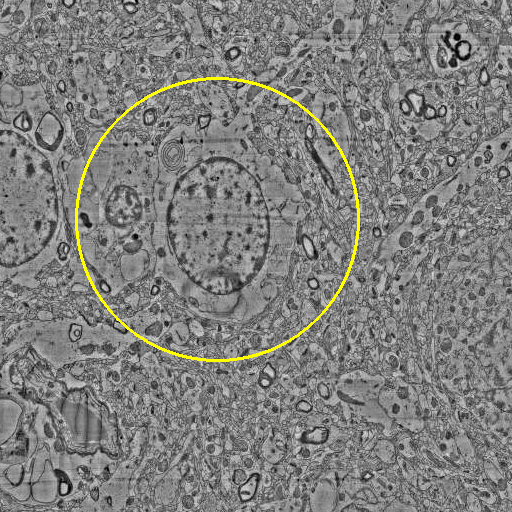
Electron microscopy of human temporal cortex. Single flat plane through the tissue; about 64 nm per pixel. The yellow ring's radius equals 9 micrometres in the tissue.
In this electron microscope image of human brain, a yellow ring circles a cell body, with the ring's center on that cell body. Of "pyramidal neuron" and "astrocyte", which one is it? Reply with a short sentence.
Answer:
It is an astrocyte at the center of the ring.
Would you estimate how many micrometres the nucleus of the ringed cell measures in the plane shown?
The nucleus of the ringed cell is approximately 9 by 7 micrometres in this plane.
